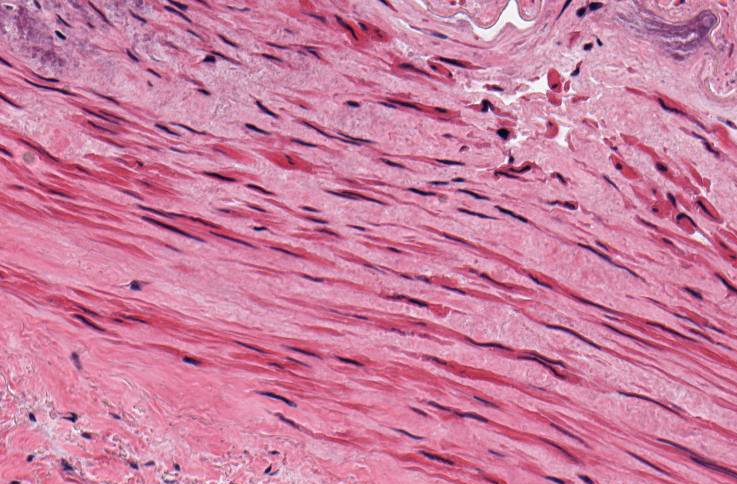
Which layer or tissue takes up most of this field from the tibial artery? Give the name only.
tunica media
